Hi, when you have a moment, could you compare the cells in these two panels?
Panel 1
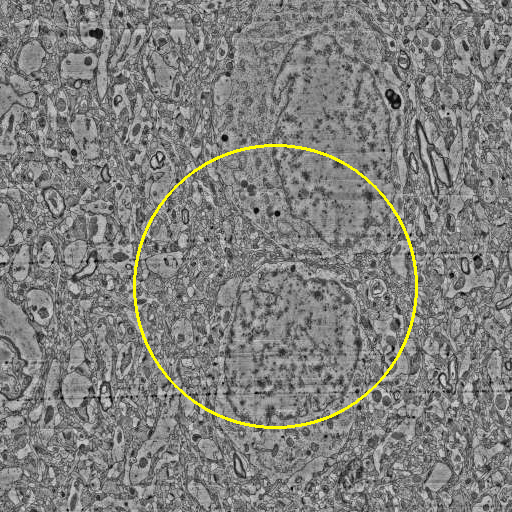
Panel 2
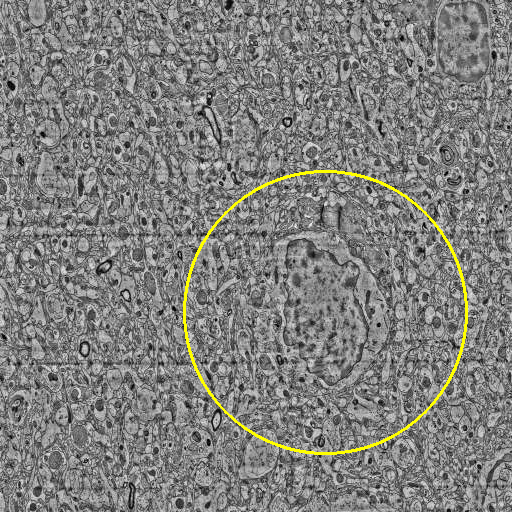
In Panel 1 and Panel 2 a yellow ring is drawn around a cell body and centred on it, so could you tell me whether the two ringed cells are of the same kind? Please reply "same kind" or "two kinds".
two kinds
